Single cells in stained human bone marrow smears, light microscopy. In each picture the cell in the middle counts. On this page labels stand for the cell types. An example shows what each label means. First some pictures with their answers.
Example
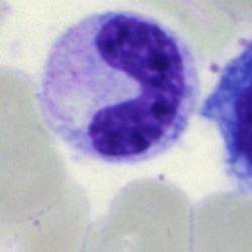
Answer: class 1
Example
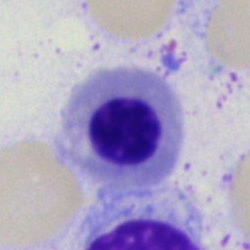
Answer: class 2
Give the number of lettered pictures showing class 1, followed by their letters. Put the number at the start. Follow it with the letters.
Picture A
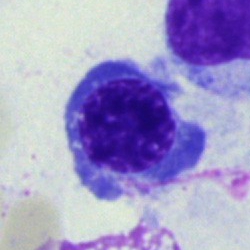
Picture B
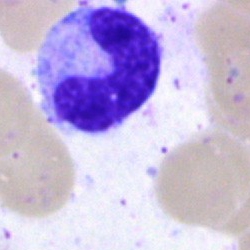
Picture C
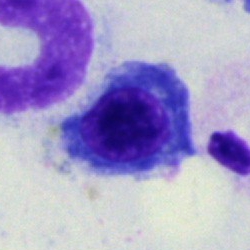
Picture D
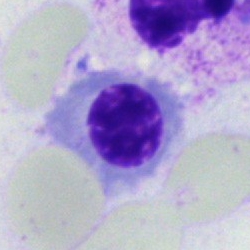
Count: 1 (B)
